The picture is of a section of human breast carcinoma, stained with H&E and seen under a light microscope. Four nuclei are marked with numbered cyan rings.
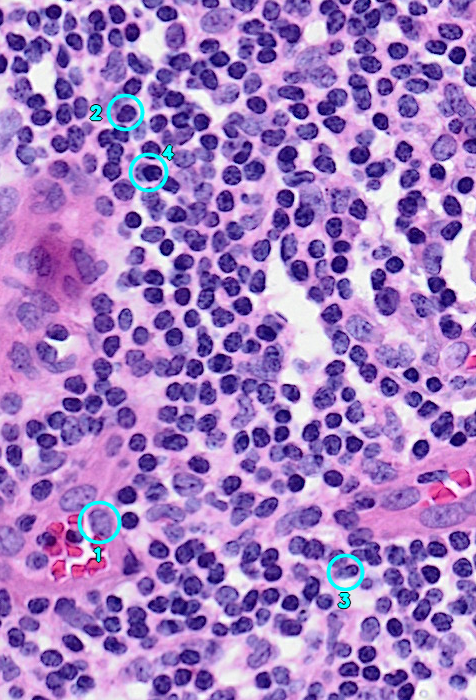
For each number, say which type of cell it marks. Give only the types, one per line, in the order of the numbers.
endothelial cell
lymphocyte
lymphocyte
lymphocyte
